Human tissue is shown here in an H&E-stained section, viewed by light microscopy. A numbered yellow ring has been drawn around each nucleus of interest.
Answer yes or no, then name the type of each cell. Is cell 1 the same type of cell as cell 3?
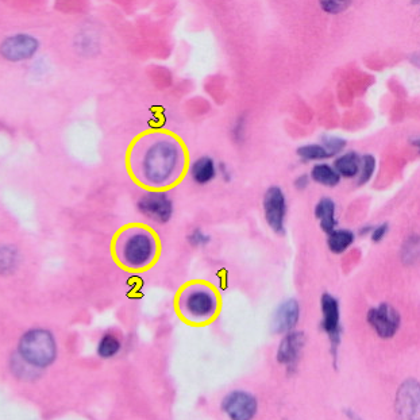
No, as to type, cell 1 is a loop of Henle or distal tubule cell, and cell 3 is a proximal tubule cell.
